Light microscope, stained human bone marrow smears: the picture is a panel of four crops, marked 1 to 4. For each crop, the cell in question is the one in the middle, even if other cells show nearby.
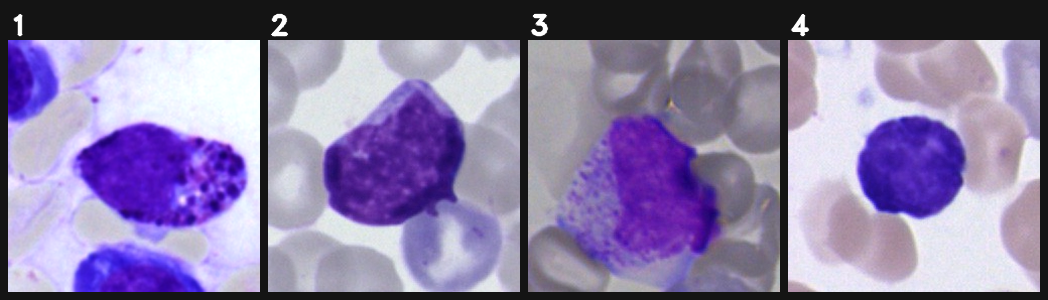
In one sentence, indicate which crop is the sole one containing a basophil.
In this series, a basophil is shown by crop 1.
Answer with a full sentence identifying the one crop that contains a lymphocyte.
Among the crops provided, a lymphocyte occupies the center of crop 4.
